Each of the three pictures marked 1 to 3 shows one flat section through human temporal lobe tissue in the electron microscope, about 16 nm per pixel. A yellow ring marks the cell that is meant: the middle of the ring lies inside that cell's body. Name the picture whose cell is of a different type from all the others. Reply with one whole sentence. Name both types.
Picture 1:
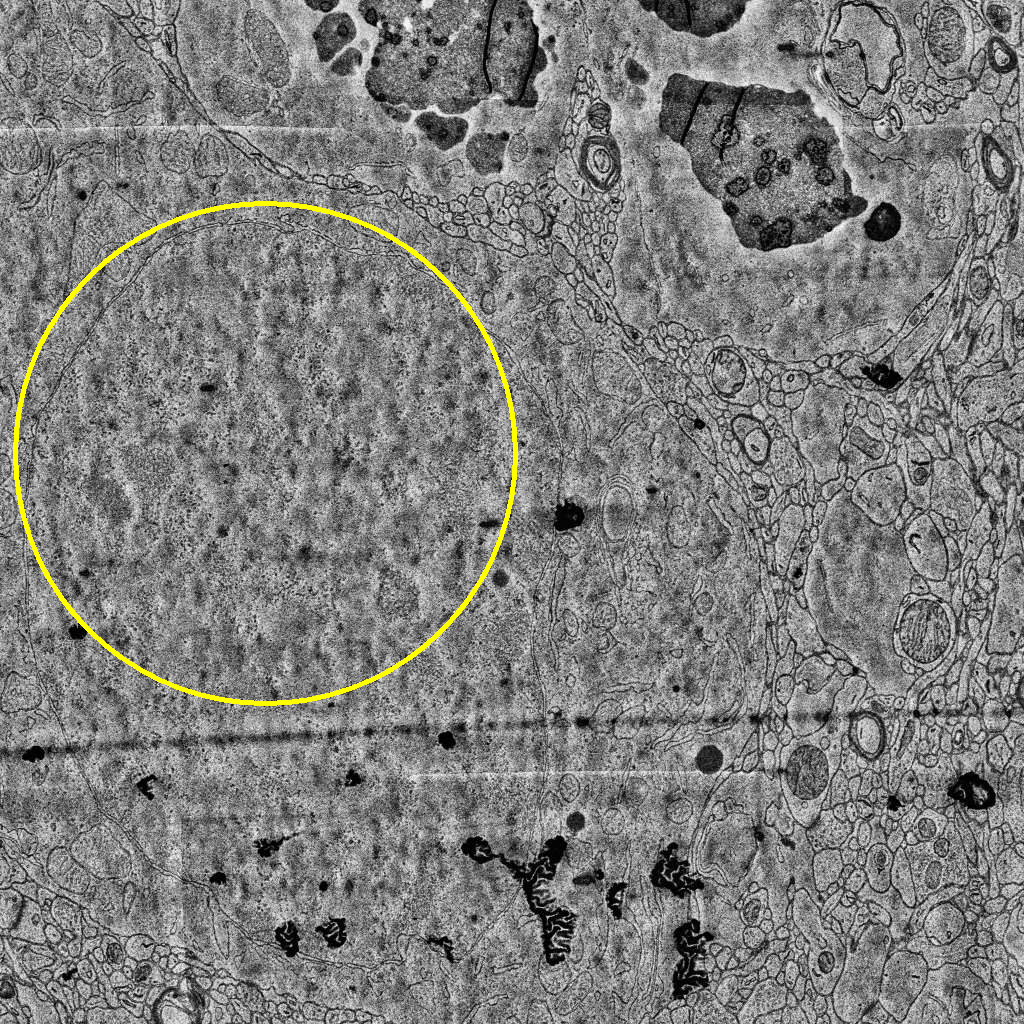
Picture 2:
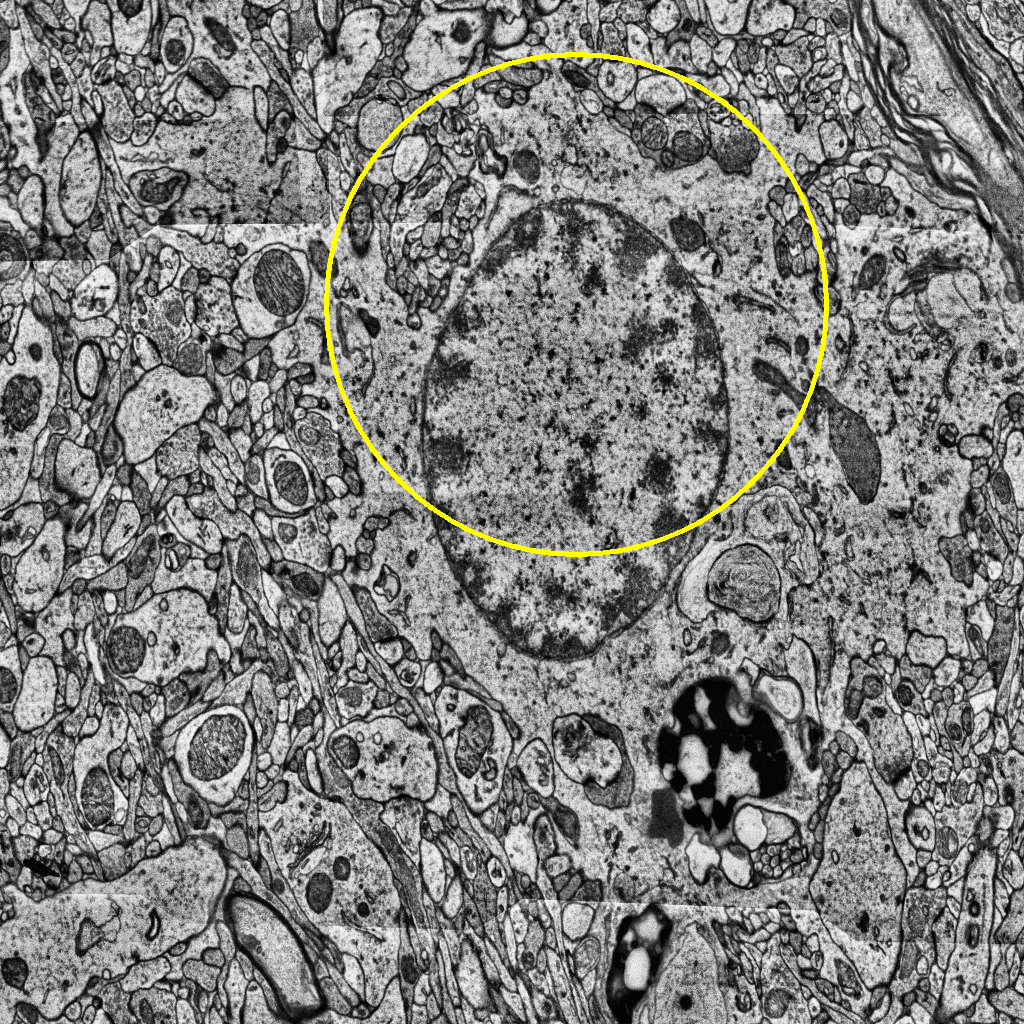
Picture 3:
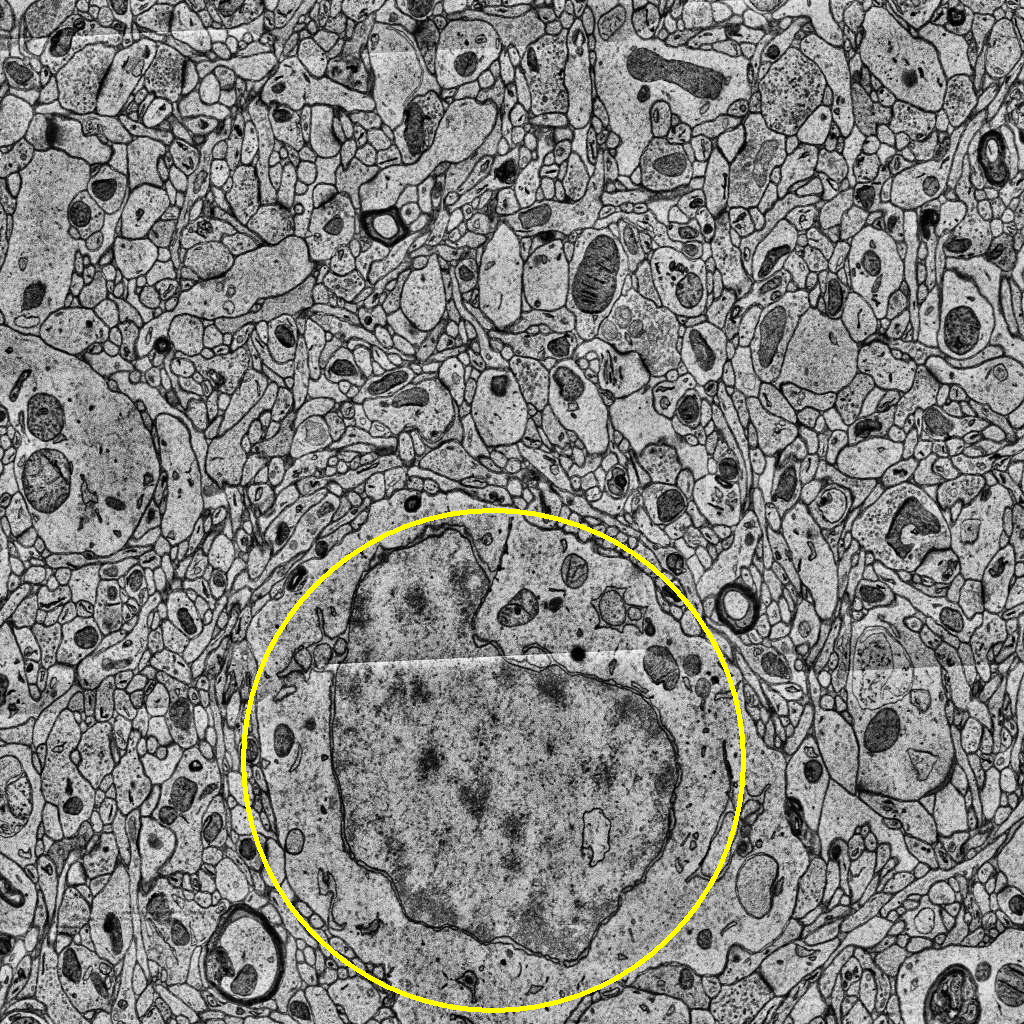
Picture 2 differs, because its cell is an astrocyte and the rest are interneurons.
